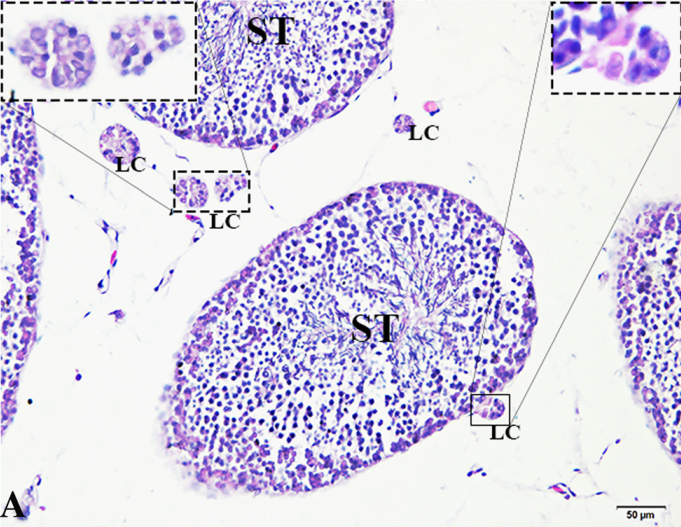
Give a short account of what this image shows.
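This is a section of testis showing seminiferous tubules cut in cross-section, with small clusters of Leydig cells in the loose interstitial tissue between them. Each tubule is lined by a thick, many-layered epithelium of germ cells with densely packed, round, dark purple nuclei. Bundles of pale, thread-like sperm tails gather toward the centre of the tubules.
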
